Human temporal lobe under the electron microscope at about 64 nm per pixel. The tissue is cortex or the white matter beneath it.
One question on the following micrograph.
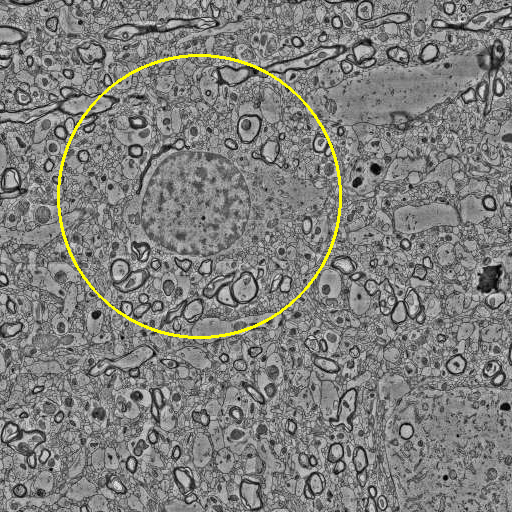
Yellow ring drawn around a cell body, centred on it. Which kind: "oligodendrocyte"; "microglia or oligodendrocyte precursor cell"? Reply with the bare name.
oligodendrocyte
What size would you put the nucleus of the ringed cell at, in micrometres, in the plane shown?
Approximately 7 micrometres across, in this plane.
